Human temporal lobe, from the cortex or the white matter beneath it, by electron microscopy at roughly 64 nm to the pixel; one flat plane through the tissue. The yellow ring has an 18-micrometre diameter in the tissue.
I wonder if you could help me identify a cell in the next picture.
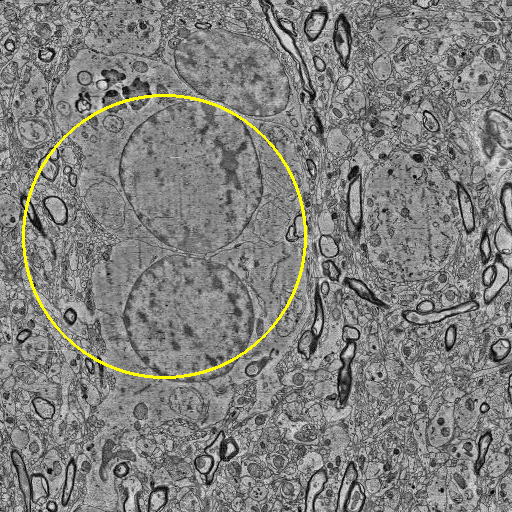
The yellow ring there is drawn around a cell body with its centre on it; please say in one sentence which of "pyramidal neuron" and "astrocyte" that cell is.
The yellow ring is centred on an astrocyte.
